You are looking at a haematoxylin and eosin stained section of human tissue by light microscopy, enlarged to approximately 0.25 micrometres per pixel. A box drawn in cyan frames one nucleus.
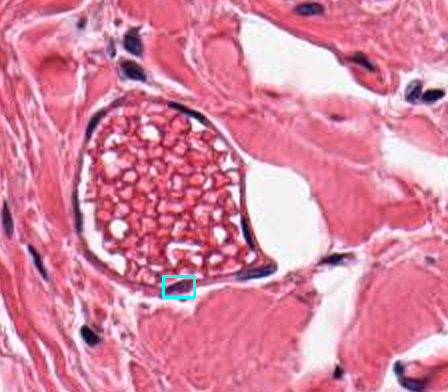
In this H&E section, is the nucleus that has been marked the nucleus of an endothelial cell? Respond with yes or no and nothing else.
yes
